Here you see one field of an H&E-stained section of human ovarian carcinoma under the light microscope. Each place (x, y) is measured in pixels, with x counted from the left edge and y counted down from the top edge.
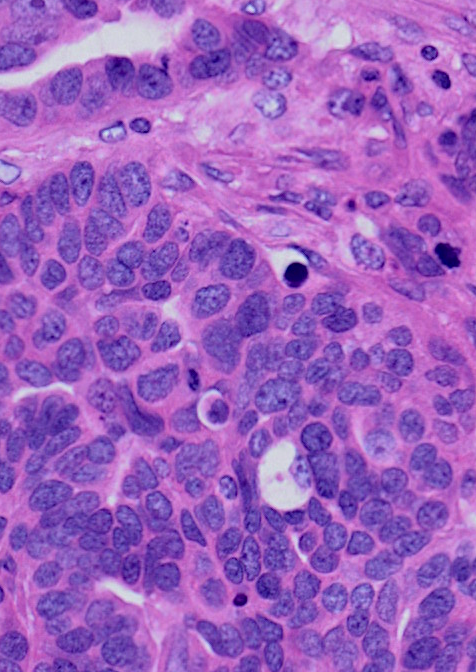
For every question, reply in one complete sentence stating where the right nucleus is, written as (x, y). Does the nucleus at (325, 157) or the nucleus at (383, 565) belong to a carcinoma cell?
Located at (383, 565), this nucleus is the one belonging to a carcinoma cell.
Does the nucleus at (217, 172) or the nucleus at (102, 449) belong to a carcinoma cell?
Identified as belonging to a carcinoma cell is the nucleus at (102, 449).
